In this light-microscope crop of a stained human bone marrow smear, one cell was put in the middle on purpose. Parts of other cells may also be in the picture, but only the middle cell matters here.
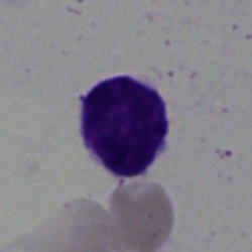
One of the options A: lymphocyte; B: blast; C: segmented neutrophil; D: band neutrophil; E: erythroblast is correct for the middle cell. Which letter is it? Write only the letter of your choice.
A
